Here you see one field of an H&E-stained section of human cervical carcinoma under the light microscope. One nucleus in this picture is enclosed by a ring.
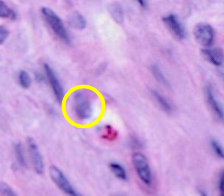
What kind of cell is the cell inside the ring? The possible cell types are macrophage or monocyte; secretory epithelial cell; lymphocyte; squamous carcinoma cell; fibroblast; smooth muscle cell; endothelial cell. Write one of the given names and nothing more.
endothelial cell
